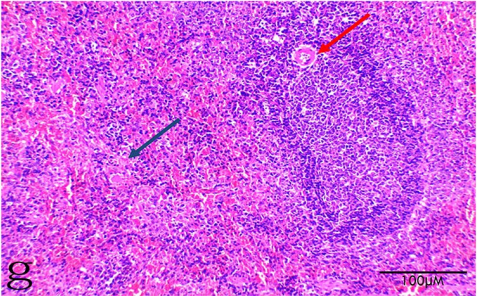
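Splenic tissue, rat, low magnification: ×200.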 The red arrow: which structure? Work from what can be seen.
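Central arteriole. The red arrow points to a small round vessel with a pink wall. It lies at the edge of a large dense rounded cluster of dark small nuclei.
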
